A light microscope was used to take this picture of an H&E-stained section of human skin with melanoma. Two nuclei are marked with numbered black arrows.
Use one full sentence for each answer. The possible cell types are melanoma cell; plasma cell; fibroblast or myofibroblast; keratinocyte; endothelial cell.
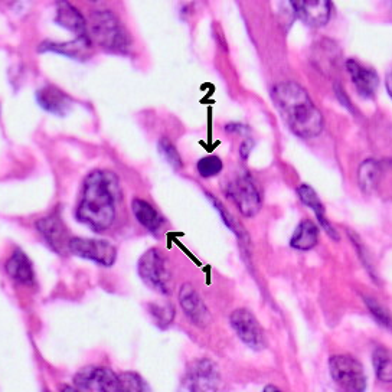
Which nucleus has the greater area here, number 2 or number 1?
Nucleus 1 is the larger one, covering about 2 times the area of nucleus 2.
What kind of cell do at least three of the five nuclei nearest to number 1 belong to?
Most of the five nuclei nearest to number 1 are those of melanoma cells.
